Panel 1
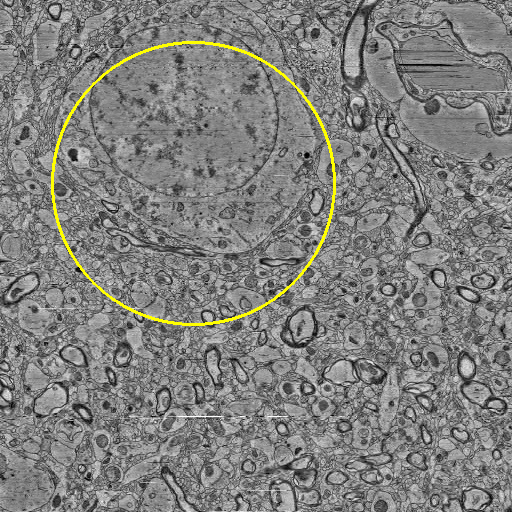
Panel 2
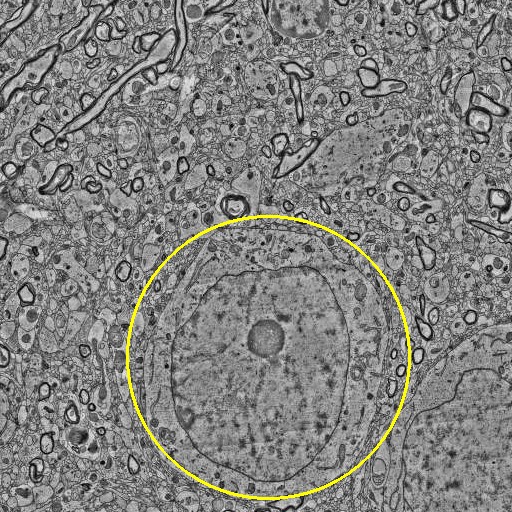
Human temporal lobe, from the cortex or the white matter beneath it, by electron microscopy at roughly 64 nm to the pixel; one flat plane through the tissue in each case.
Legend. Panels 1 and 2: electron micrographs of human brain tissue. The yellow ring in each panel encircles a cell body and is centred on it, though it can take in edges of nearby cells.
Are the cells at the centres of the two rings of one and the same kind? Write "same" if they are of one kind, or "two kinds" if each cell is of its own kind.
same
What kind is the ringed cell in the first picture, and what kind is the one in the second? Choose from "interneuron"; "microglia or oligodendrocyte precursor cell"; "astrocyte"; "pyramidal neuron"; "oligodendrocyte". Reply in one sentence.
The cell in the first picture is a pyramidal neuron, and so is the one in the second.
